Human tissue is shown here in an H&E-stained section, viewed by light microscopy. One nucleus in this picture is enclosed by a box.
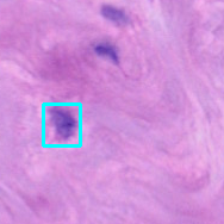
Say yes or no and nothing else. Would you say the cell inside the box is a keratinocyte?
no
